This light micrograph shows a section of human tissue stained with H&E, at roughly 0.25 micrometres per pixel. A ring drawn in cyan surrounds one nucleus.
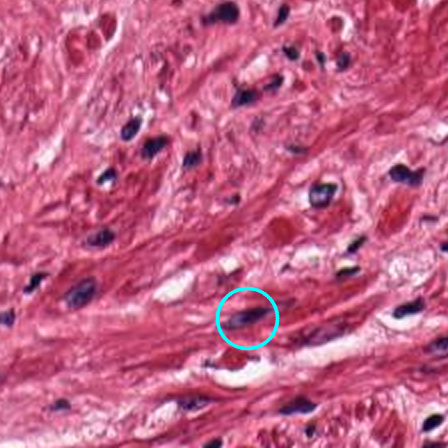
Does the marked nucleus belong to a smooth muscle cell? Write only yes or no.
yes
